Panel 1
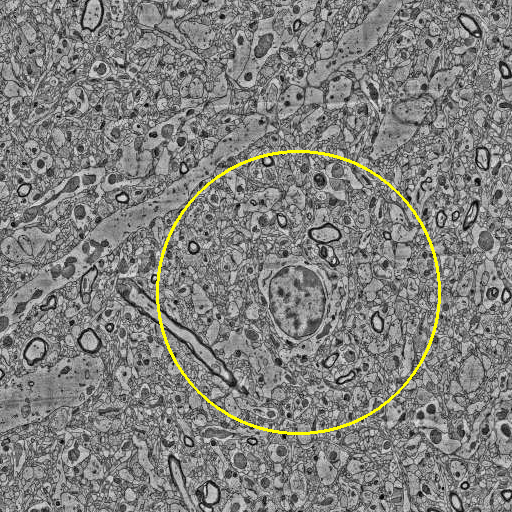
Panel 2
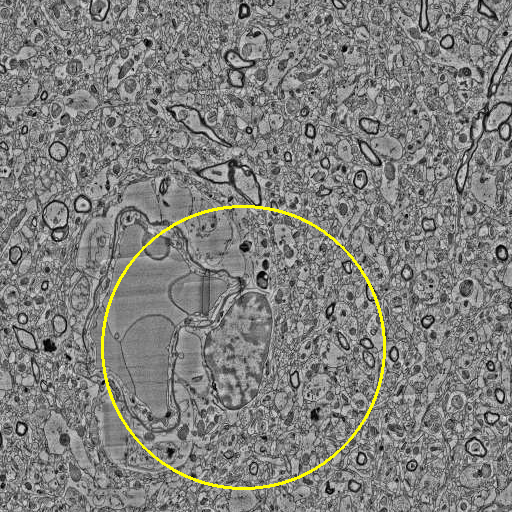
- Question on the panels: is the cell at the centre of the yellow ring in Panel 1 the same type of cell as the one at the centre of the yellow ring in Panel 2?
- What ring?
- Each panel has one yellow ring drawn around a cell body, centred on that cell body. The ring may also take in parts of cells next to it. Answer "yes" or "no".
yes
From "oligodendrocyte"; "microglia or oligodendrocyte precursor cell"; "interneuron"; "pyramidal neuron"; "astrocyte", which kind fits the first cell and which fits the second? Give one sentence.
Each one of the two ringed cells is a microglial cell or oligodendrocyte precursor cell.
